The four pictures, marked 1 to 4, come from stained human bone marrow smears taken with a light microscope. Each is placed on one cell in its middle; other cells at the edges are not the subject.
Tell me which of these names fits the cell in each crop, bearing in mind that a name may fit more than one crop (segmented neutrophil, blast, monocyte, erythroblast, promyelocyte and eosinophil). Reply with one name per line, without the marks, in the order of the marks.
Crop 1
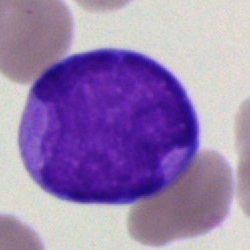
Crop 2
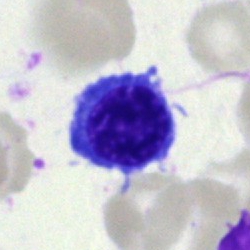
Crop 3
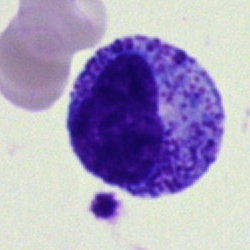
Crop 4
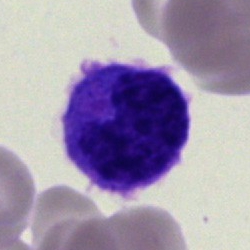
blast
erythroblast
promyelocyte
monocyte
